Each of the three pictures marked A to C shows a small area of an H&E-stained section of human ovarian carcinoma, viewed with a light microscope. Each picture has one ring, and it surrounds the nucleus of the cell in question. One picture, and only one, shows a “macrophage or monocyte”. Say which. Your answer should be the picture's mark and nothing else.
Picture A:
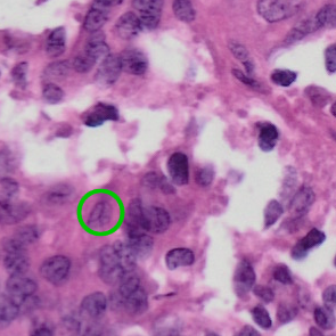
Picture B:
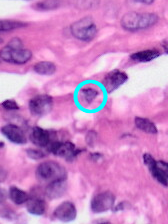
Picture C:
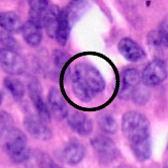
B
